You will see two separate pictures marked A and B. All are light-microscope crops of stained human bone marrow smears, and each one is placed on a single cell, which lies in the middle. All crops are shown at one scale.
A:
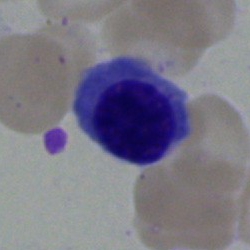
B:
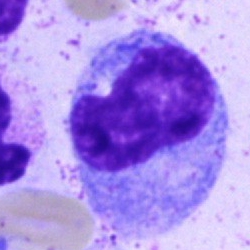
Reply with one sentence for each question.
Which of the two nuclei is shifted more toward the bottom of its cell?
Seen within its cell, the nucleus in crop A lies further toward the bottom.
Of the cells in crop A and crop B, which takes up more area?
Larger is the cell in crop B, at roughly 3 times the area of the other.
